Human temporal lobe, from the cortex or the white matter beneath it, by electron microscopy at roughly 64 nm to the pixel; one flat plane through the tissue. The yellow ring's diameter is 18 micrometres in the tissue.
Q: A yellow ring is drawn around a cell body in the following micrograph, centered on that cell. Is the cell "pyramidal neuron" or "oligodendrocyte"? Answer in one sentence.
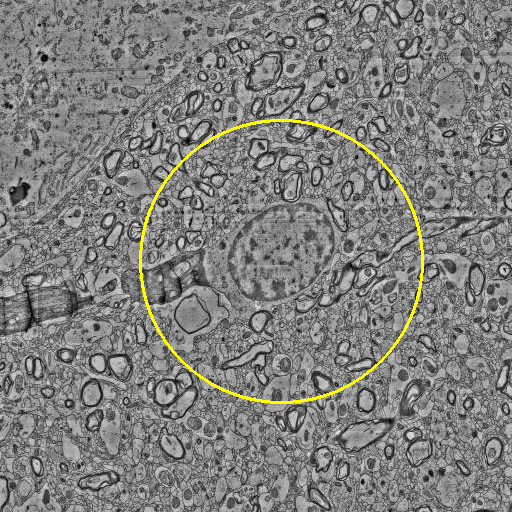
The cell in the center of the ring is an oligodendrocyte.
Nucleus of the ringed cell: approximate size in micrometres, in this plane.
Approximately 7 micrometres long and 5 micrometres wide, in this plane.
